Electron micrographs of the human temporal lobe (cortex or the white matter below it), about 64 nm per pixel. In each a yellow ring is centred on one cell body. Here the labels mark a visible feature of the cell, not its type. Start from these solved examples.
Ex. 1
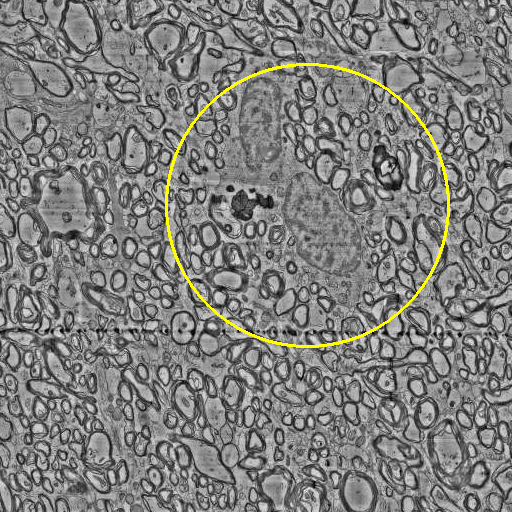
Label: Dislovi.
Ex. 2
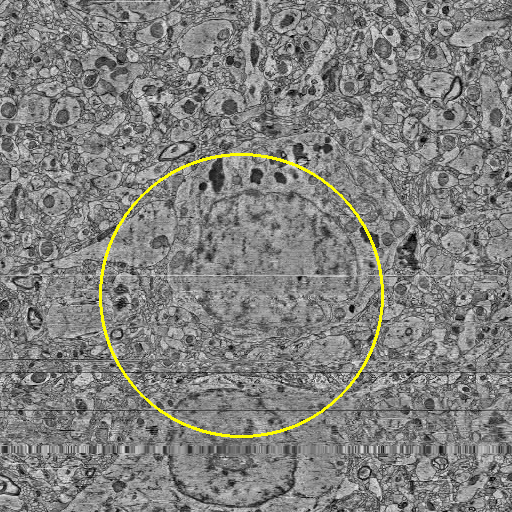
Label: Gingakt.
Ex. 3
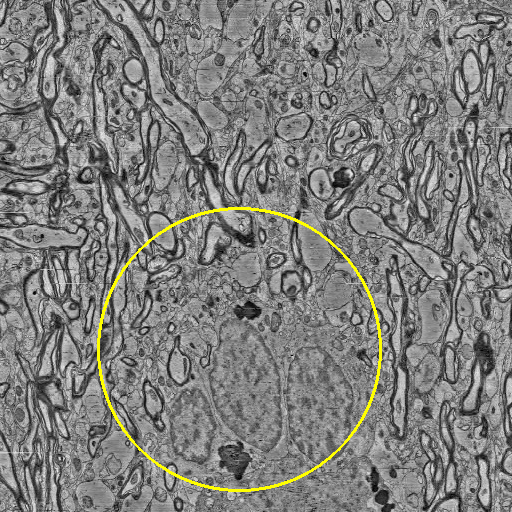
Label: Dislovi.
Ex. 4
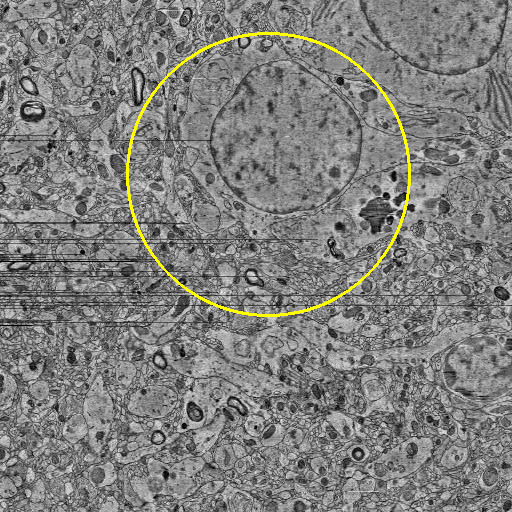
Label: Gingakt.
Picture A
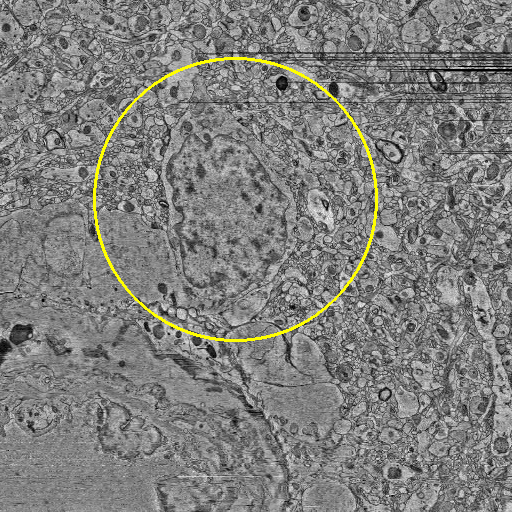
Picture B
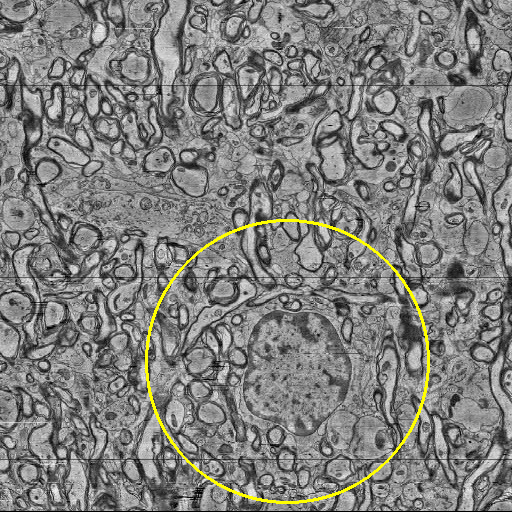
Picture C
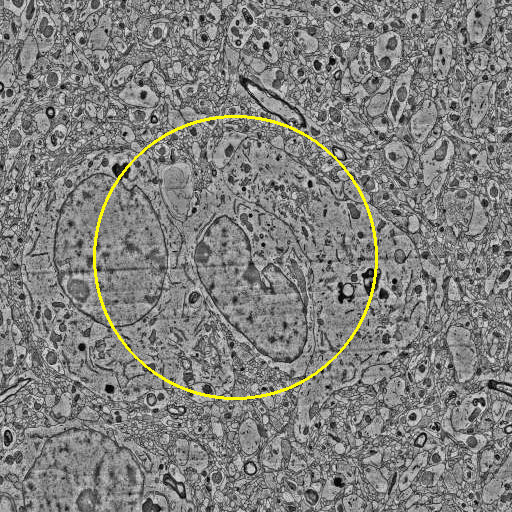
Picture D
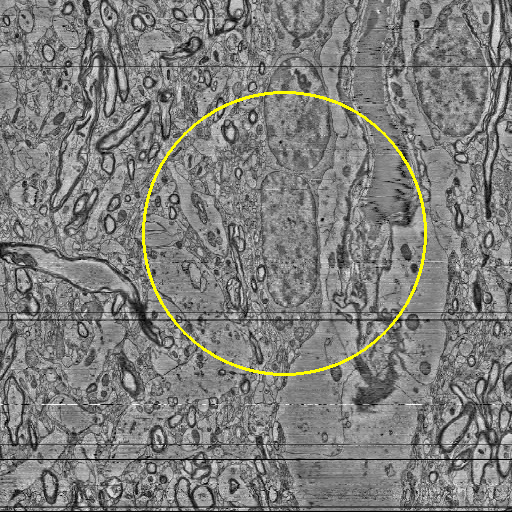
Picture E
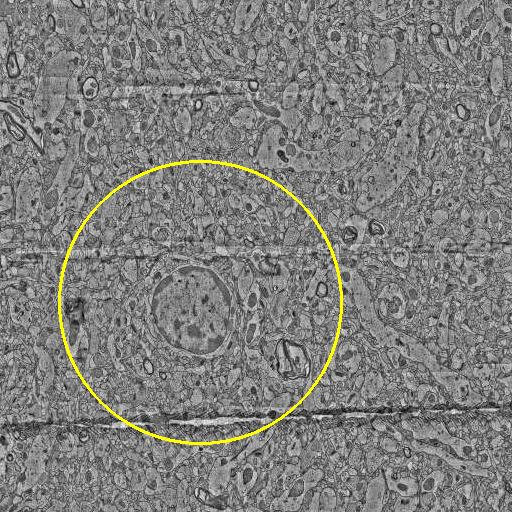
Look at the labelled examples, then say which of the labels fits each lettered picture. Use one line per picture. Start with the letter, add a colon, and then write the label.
A: Dislovi.
B: Gingakt.
C: Dislovi.
D: Dislovi.
E: Gingakt.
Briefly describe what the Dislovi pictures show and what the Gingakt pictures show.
Dislovi: clearly elongated nuclei; Gingakt: round or nearly round nuclei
